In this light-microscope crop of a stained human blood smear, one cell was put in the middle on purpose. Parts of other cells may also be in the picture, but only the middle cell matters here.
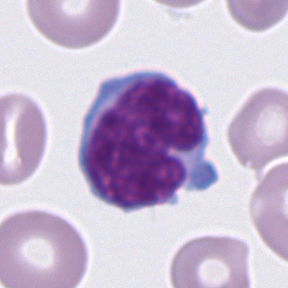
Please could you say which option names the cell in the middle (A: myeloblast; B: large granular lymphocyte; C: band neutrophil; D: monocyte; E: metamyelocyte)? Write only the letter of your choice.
A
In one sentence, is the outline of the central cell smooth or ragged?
Its outline is ragged or drawn out into projections, not smooth.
